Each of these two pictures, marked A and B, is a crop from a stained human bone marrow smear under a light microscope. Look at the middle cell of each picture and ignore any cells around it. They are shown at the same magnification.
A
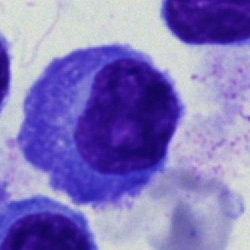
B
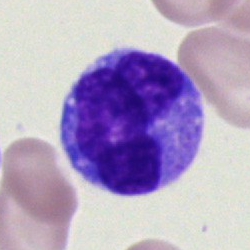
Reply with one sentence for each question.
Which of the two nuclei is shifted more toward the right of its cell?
It is the nucleus in crop A that lies further toward the right of its cell.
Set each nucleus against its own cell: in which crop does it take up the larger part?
Of the two, the nucleus in crop B makes up the greater part of its cell.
